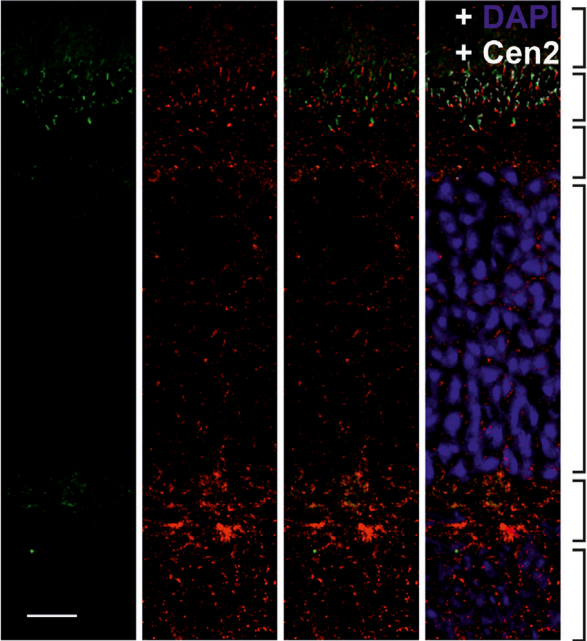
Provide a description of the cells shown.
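This is a cross-section through the photoreceptor side of the retina: at the top, short green and red rod-like and dot-like structures line up in a row at the base of the outer segments, where the cilia of the photoreceptors sit. Beneath them, fine red dots are scattered through the inner segments and among the tightly packed blue nuclei of the thick outer nuclear layer. Below the nuclei, a narrow band of dense red clusters marks the outer plexiform layer, followed by the start of a thinner nuclear layer.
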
